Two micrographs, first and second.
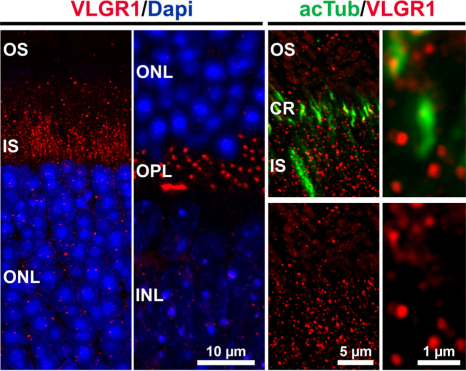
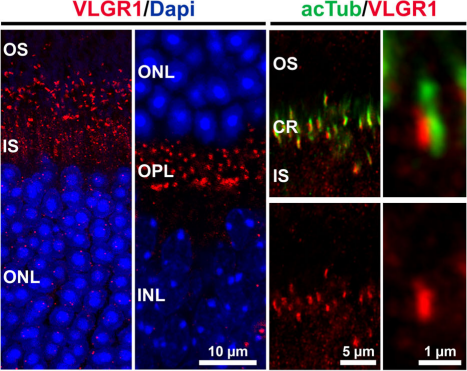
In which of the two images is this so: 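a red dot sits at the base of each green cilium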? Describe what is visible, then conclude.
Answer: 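First image: green rods stand without a red dot attached; red puncta are scattered through the inner segment layer. Second image: most green rods in the row carry a red dot at one end. That points to this answer: the second image.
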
